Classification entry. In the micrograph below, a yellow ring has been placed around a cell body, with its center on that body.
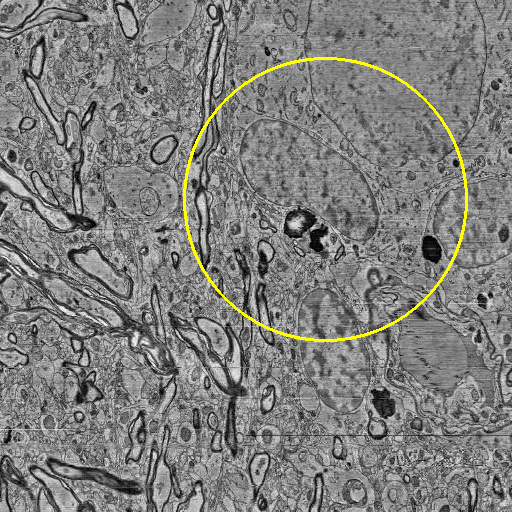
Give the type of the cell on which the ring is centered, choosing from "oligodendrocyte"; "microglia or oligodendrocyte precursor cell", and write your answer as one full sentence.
The cell body at the center of the yellow ring belongs to a microglial cell or oligodendrocyte precursor cell.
